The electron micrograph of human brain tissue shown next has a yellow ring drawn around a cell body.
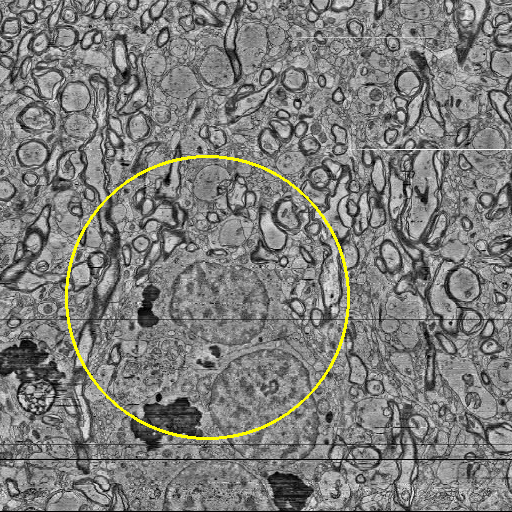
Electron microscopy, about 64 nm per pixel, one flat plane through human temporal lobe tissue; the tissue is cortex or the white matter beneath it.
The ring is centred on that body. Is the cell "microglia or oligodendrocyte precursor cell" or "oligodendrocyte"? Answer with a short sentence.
The cell in question is an oligodendrocyte.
